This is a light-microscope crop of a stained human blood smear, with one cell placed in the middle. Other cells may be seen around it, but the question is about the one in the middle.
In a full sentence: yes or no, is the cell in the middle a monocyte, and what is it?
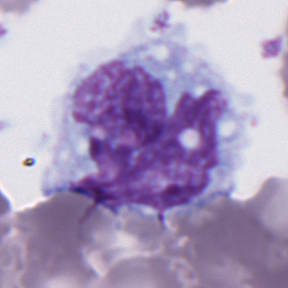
Yes, this crop has a monocyte at its centre.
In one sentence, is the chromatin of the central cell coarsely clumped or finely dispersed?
The chromatin is delicate and fine, lacking coarse clumping entirely.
